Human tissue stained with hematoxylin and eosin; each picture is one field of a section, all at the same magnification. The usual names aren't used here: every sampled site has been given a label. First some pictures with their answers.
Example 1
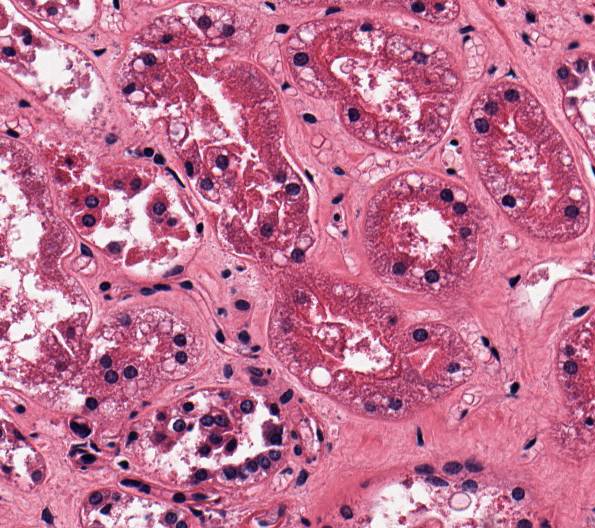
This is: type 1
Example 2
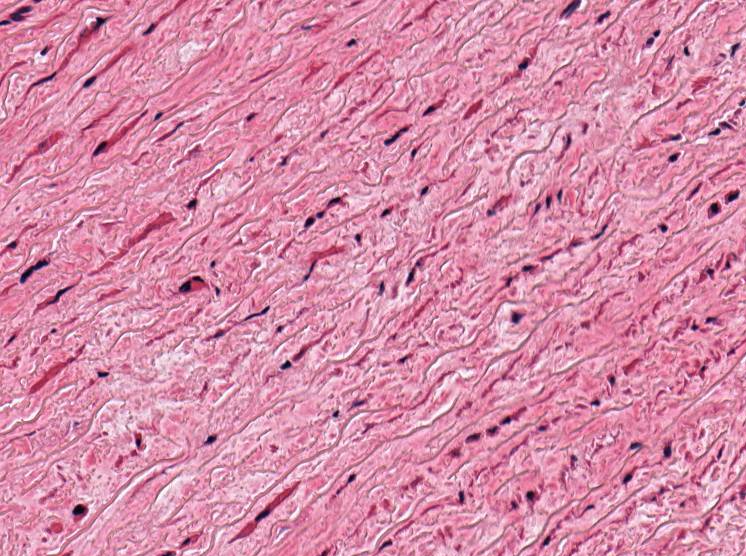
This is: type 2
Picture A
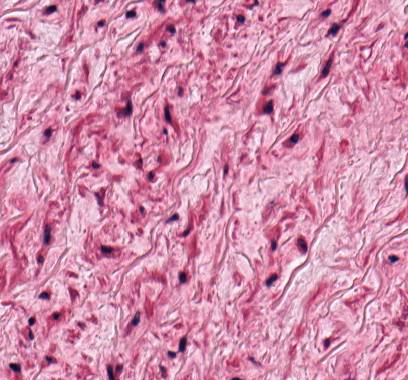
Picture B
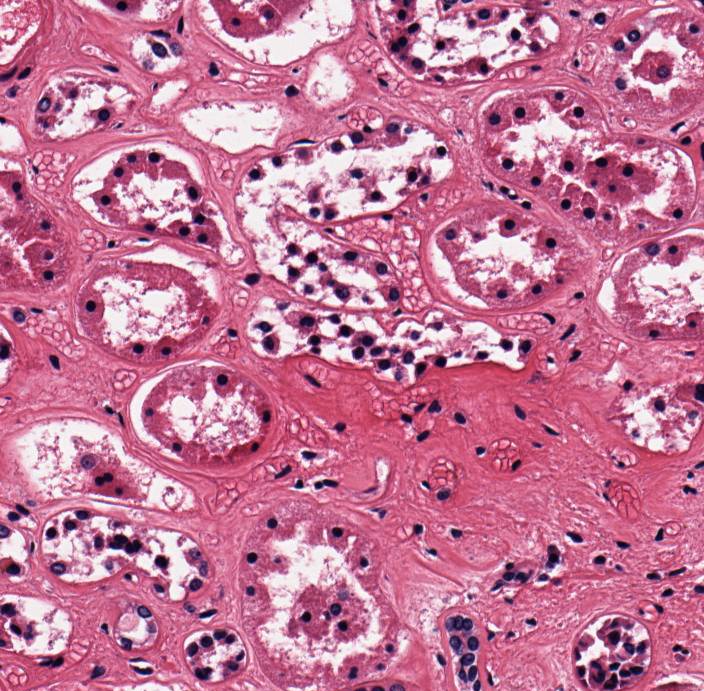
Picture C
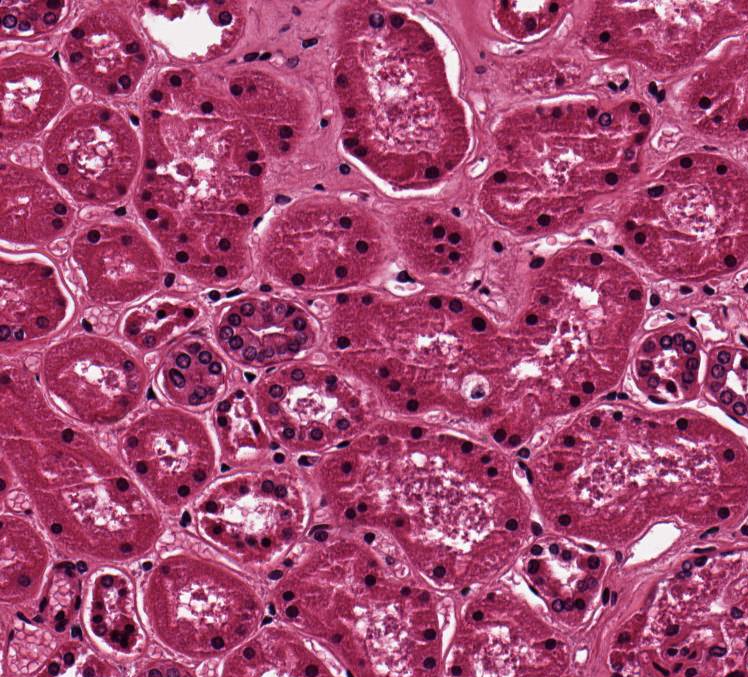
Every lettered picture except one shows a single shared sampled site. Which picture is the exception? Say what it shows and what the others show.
A differs and shows type 2; the others show type 1.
